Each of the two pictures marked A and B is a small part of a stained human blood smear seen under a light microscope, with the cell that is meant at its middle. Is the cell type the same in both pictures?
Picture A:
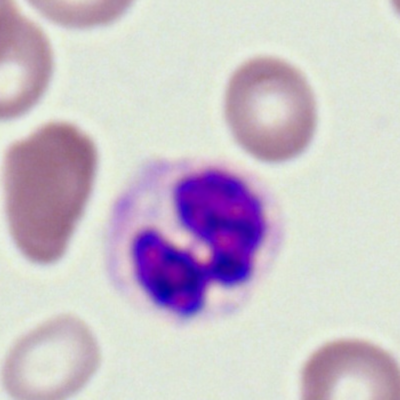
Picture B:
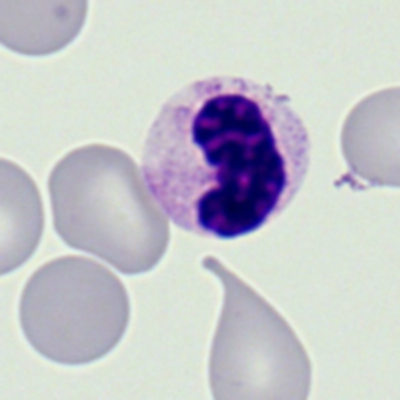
yes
